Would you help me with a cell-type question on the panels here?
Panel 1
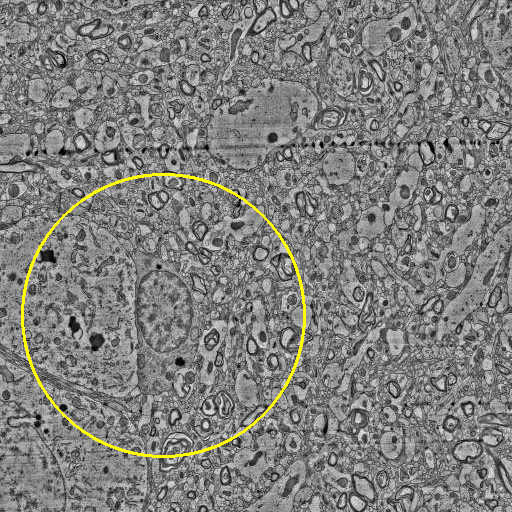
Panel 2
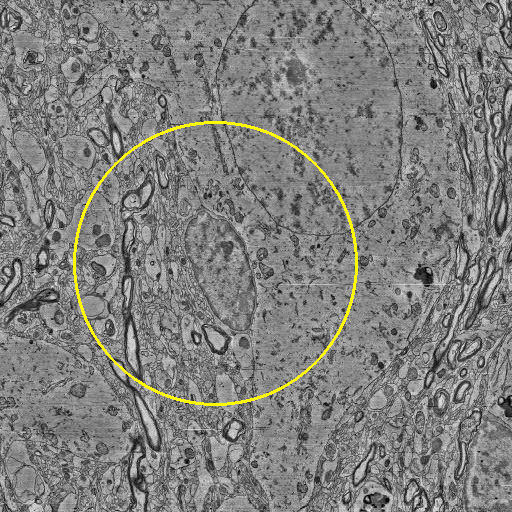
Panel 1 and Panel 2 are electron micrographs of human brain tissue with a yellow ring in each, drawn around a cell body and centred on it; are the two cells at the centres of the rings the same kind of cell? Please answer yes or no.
yes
